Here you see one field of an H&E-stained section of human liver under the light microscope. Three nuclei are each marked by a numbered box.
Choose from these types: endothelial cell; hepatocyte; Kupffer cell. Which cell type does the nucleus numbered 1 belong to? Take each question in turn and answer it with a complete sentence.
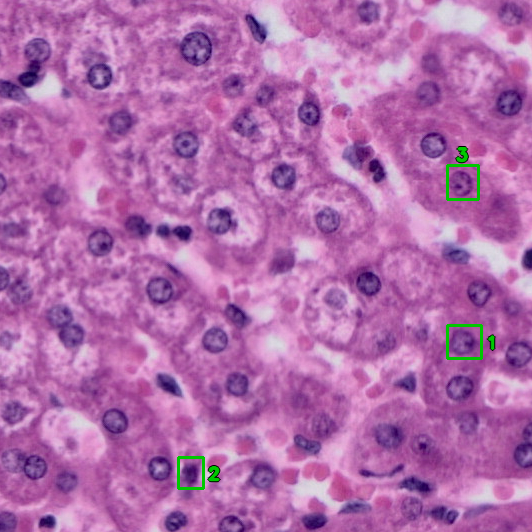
The cell marked with the number 1 is a hepatocyte.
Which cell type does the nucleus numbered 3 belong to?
Recognised here as a hepatocyte is the cell numbered 3.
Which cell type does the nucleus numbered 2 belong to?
The numbered cell 2 in this field is a Kupffer cell.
